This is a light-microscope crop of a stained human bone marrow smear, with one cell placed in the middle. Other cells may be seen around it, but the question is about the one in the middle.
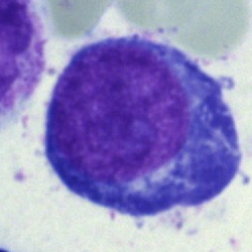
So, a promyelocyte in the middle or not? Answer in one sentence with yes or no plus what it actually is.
No, wrong label: the middle cell is a proerythroblast instead of a promyelocyte.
